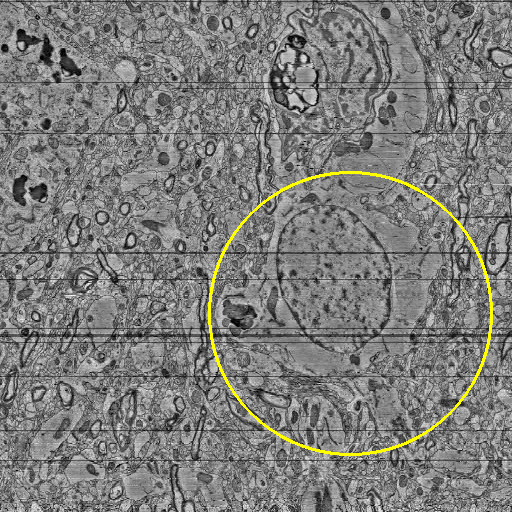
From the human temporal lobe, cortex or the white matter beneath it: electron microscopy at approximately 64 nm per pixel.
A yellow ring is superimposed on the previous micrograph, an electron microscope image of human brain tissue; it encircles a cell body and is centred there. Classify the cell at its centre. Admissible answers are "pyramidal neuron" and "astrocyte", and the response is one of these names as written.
astrocyte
